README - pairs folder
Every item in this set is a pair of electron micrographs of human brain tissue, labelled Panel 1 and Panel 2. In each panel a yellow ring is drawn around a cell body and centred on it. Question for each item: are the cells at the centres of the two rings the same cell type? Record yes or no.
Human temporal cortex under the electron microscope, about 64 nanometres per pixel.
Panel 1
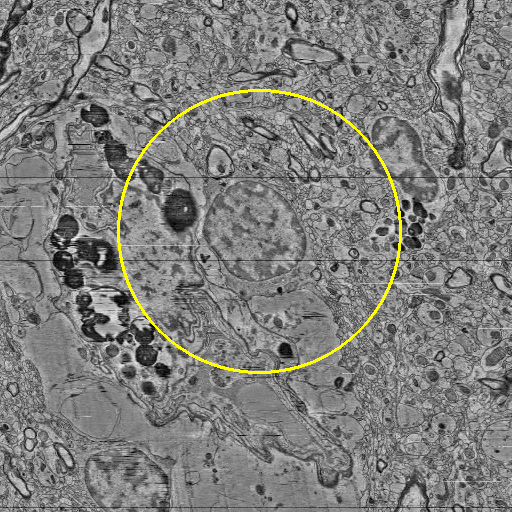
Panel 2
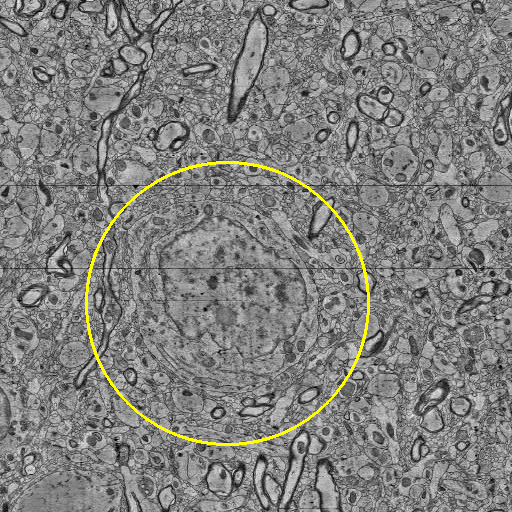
no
